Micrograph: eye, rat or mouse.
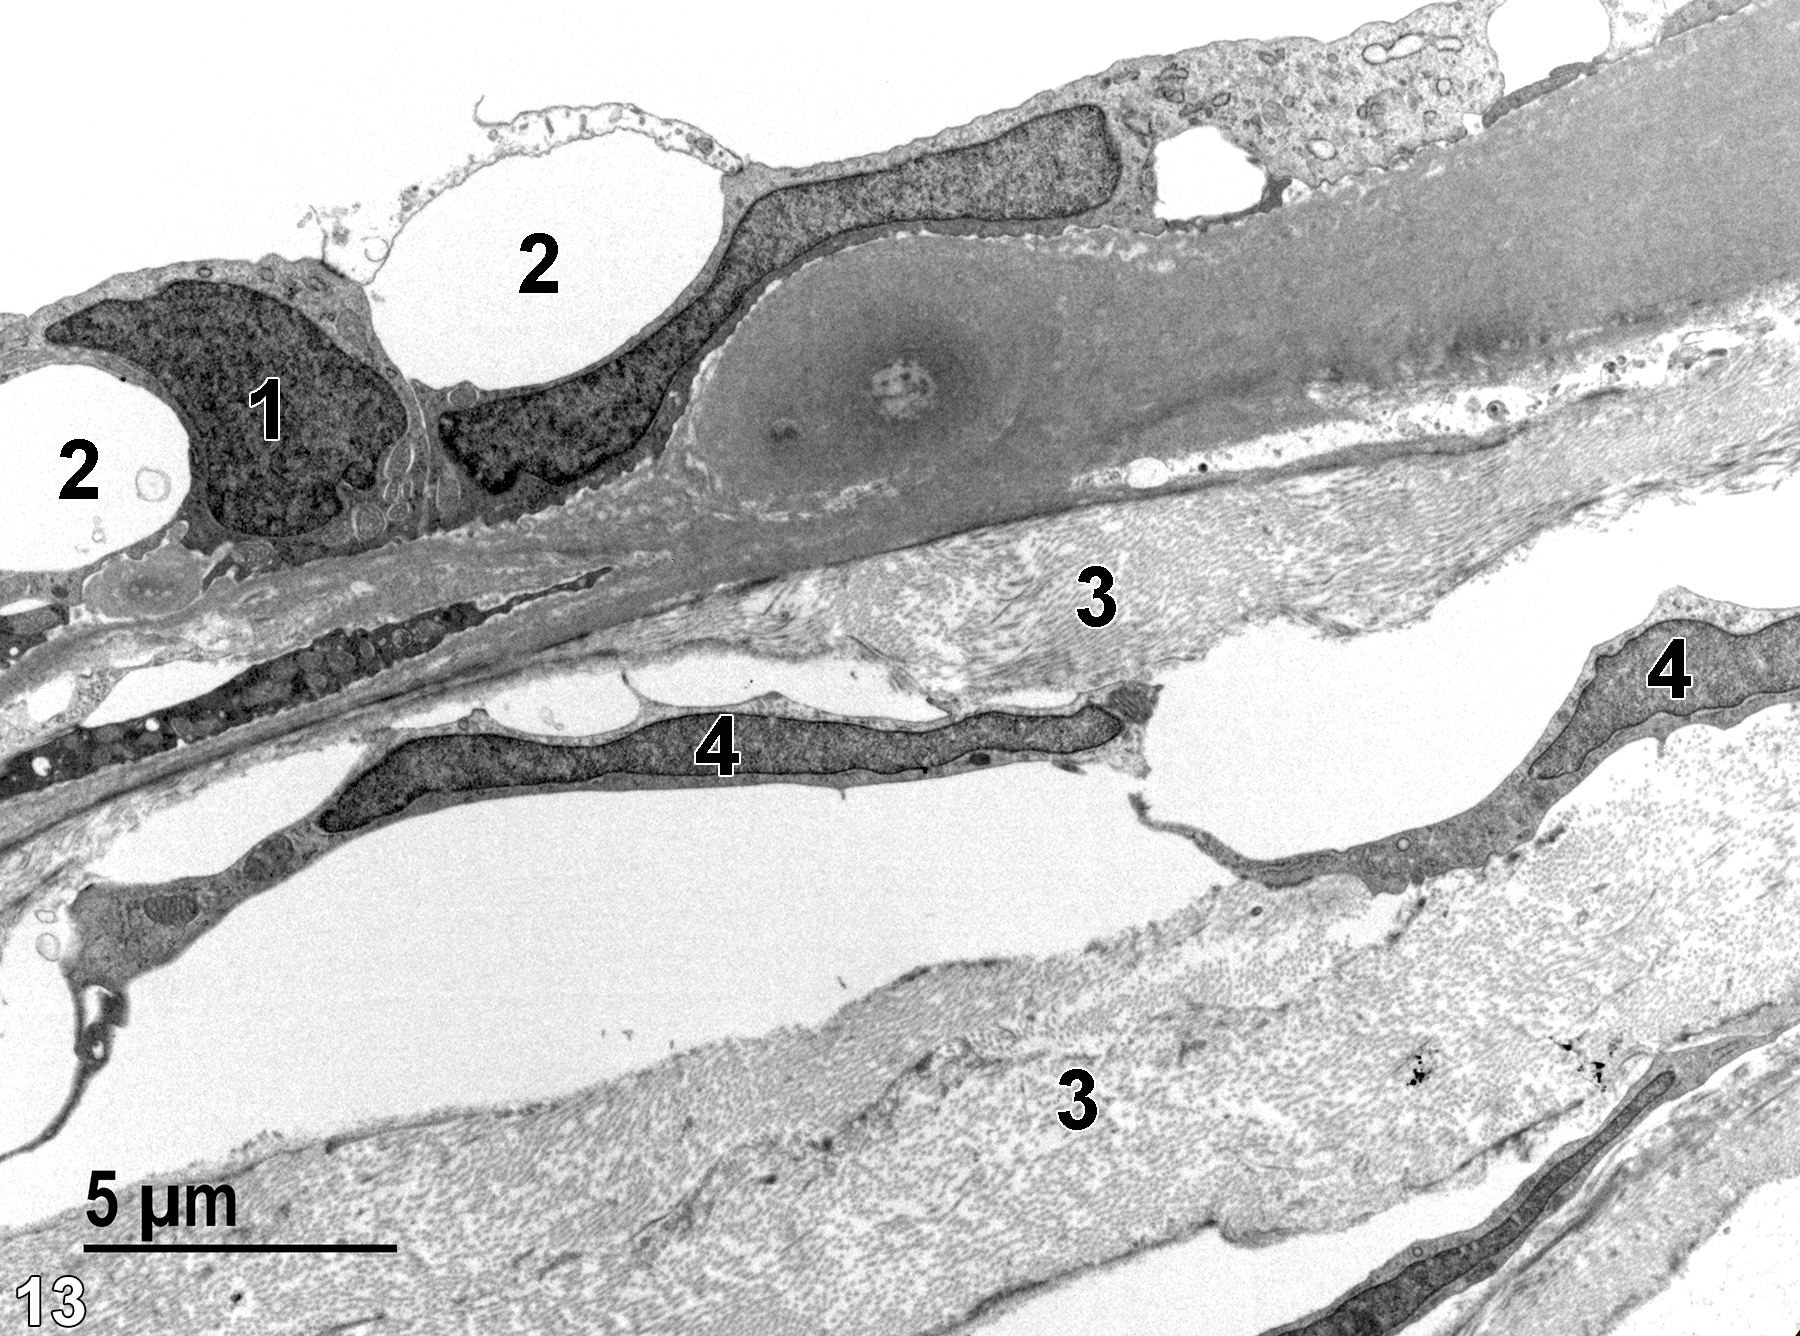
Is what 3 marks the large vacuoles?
No: the bundles of collagen fibrils.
